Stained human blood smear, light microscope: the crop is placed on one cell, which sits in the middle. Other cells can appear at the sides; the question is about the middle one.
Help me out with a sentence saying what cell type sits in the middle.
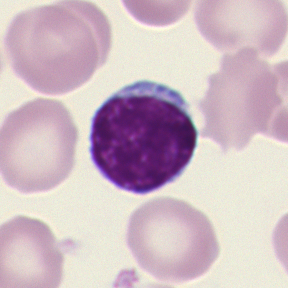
The center cell of this crop is a lymphocyte.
